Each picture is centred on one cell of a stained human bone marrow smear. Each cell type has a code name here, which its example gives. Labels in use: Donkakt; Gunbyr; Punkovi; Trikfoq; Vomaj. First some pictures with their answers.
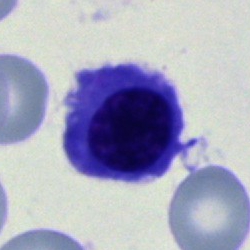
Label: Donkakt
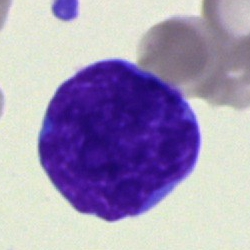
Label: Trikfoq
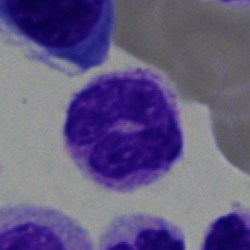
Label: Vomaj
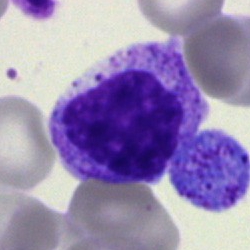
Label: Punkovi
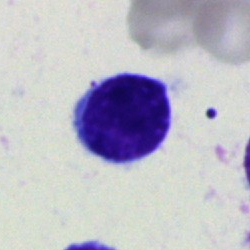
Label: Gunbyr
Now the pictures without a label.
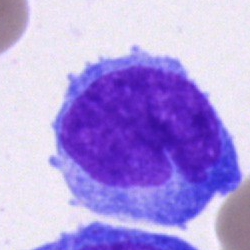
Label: Trikfoq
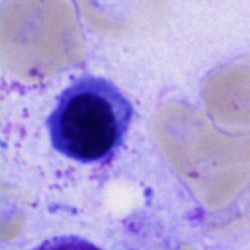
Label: Donkakt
